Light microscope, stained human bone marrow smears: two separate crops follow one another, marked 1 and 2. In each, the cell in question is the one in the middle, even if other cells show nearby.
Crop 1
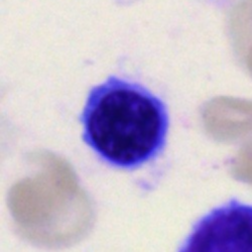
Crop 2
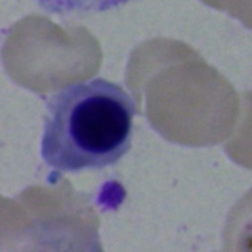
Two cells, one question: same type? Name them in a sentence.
Yes, the cells at the centre of the two crops are both erythroblasts.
